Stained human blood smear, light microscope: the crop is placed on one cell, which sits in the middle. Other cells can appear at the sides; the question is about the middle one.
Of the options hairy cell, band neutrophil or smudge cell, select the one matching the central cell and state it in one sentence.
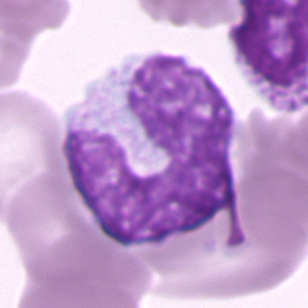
The cell positioned in the middle of the field is a band neutrophil.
